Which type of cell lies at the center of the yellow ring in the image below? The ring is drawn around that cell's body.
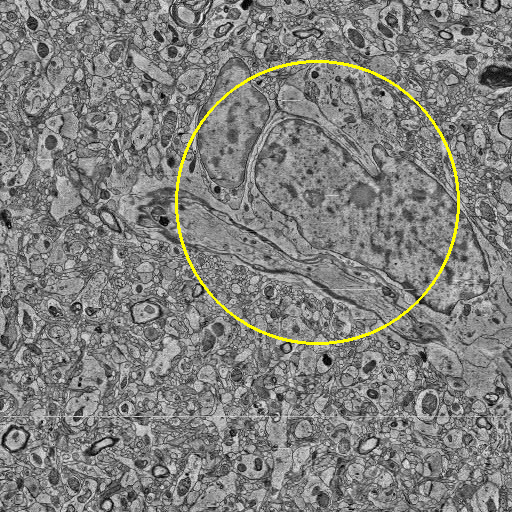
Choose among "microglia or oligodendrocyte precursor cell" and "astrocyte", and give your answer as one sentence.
The cell body at the center belongs to a microglial cell or oligodendrocyte precursor cell.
